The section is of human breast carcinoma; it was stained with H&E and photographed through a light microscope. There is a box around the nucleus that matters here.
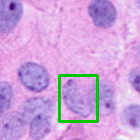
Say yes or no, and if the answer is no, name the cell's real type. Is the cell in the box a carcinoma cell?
Yes.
